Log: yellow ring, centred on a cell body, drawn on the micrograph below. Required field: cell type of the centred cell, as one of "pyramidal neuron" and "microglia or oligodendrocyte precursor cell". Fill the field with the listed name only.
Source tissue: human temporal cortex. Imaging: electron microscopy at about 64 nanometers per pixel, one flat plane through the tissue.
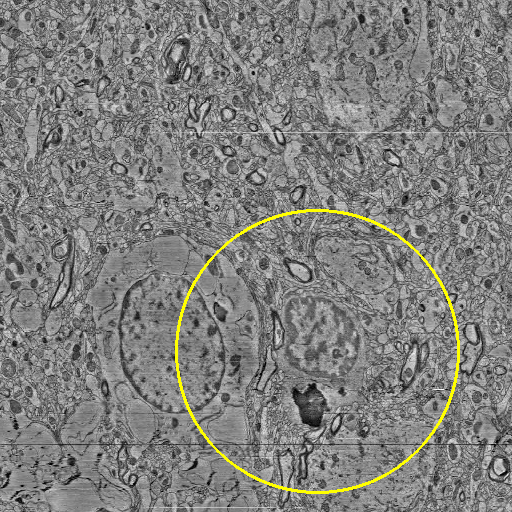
microglia or oligodendrocyte precursor cell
